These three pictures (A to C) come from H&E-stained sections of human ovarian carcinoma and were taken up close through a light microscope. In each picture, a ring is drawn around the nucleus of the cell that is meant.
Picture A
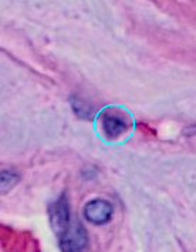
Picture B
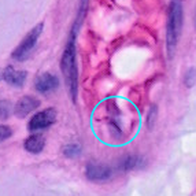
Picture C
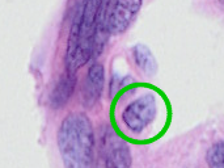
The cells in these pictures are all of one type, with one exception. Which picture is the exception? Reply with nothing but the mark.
C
